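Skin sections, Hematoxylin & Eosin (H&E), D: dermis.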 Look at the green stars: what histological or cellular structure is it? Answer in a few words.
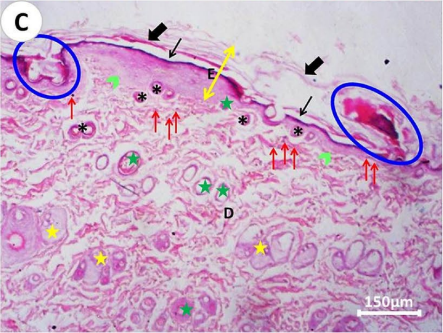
Blood vessels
